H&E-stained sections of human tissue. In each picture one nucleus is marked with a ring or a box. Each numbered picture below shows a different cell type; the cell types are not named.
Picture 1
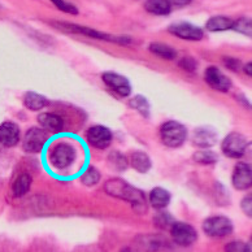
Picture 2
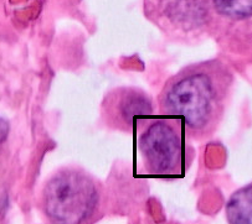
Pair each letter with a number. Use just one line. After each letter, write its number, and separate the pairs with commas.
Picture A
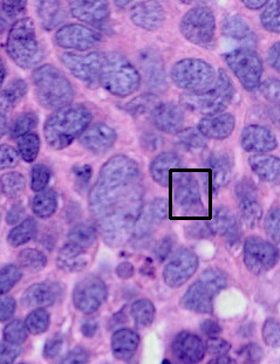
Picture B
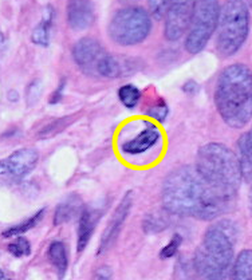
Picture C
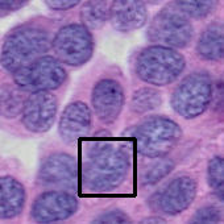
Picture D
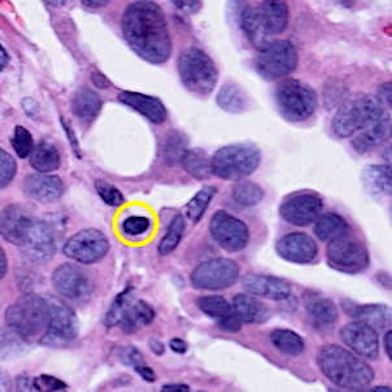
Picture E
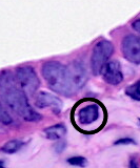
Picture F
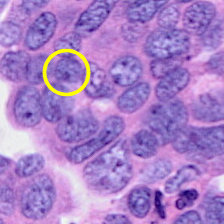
A 2, B 1, C 2, D 1, E 1, F 2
